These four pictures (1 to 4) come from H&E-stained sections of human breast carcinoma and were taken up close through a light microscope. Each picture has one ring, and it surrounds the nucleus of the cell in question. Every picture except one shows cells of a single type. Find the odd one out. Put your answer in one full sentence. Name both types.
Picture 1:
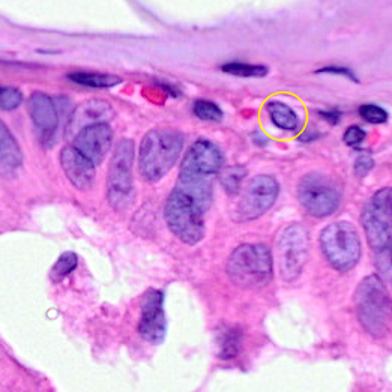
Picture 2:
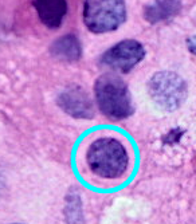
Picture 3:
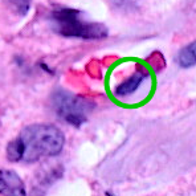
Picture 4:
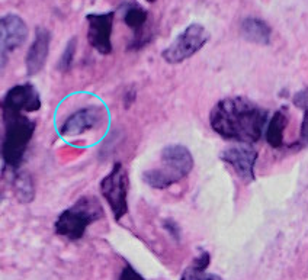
The others show endothelial cells, but picture 2 shows a carcinoma cell.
